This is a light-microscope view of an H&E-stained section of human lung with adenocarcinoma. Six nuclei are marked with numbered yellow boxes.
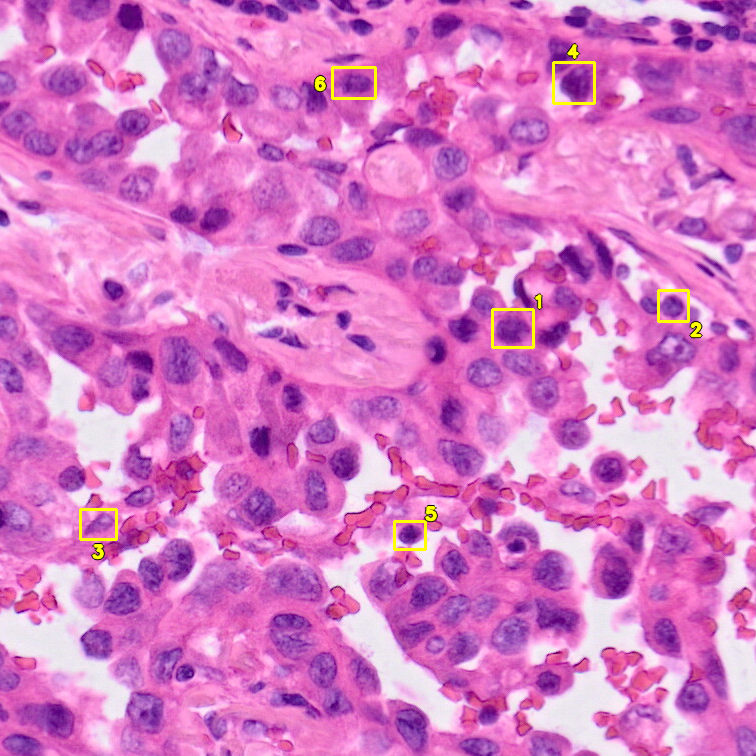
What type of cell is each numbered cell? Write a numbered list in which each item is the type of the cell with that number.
1. carcinoma cell
2. lymphocyte
3. macrophage or monocyte
4. carcinoma cell
5. lymphocyte
6. carcinoma cell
